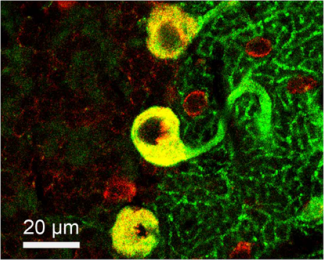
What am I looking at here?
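This is cerebellar cortex with several large Purkinje cells whose rounded cell bodies are filled with yellow where red and green overlap. Smaller cells with red ring-like staining lie nearby, outside the Purkinje cell bodies.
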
